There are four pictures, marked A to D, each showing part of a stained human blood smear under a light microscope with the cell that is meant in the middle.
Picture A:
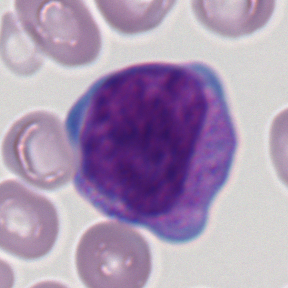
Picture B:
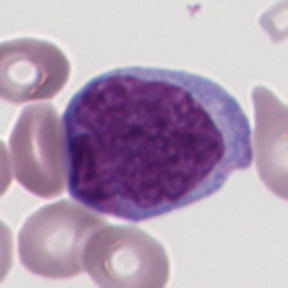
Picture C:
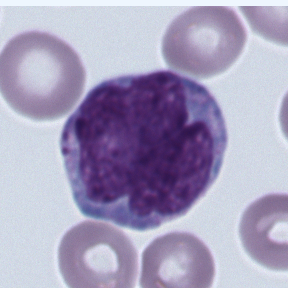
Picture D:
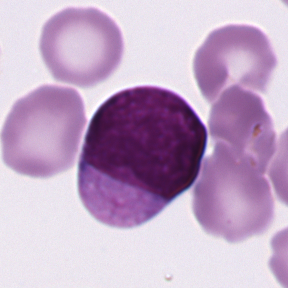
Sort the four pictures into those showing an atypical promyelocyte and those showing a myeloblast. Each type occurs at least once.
A: atypical promyelocyte
B: atypical promyelocyte
C: atypical promyelocyte
D: myeloblast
